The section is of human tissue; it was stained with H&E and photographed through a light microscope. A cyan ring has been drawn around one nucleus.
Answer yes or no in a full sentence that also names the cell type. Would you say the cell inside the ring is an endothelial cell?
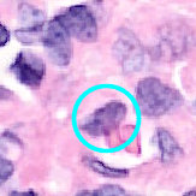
Yes, the statement that the cell inside the ring is an endothelial cell is correct.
